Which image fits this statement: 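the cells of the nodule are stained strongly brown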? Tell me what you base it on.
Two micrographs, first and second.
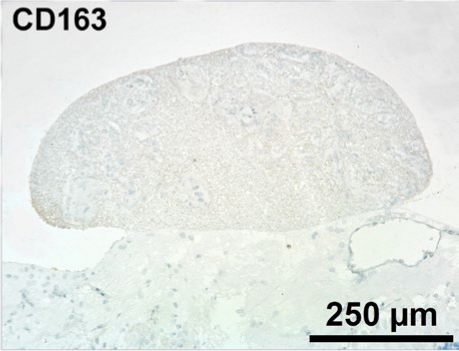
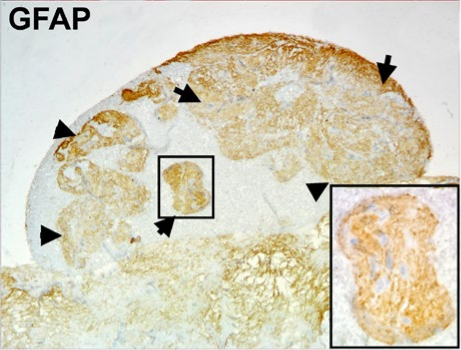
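The second image. First image: the nodule is pale with blue nuclei and almost no brown. Second image: much of the nodule is intensely brown in fibrillary clusters.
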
